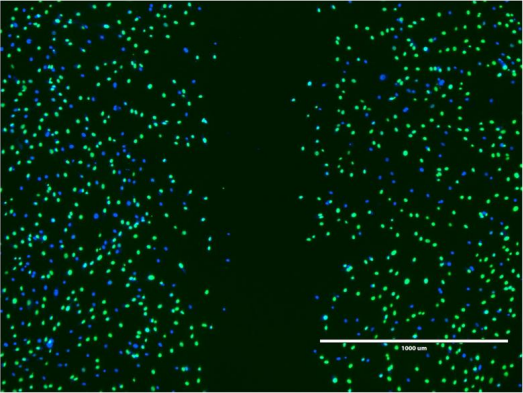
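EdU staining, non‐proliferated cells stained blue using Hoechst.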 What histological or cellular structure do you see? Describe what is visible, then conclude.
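Micro‐wound. Nuclei are densely scattered on both sides of the band. The gap has sharp, roughly straight borders.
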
